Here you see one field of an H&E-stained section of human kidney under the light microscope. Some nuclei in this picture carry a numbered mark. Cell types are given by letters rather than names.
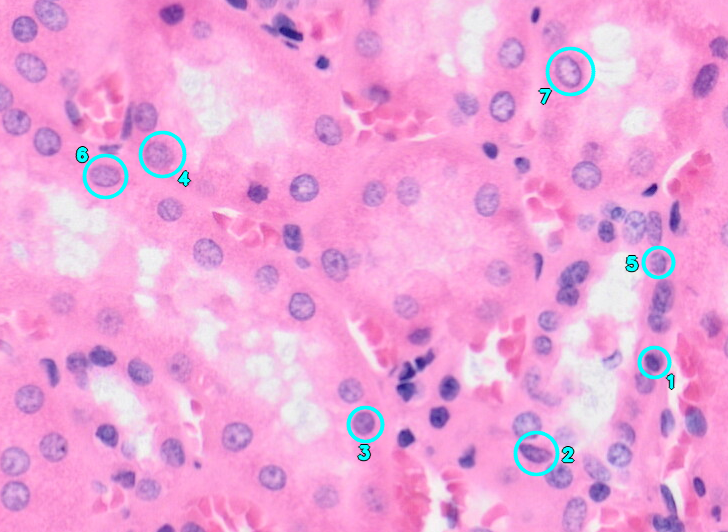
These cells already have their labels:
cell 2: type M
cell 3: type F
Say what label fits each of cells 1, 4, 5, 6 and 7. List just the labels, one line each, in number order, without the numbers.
type M
type F
type M
type F
type F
